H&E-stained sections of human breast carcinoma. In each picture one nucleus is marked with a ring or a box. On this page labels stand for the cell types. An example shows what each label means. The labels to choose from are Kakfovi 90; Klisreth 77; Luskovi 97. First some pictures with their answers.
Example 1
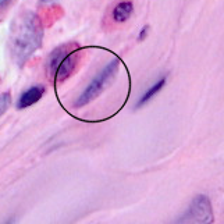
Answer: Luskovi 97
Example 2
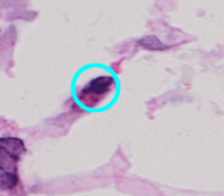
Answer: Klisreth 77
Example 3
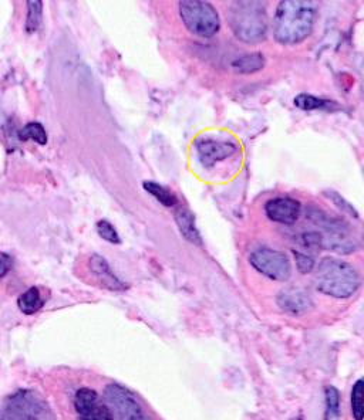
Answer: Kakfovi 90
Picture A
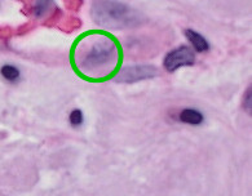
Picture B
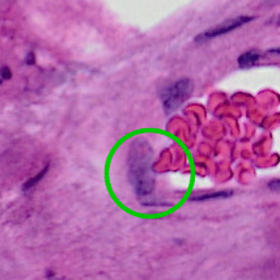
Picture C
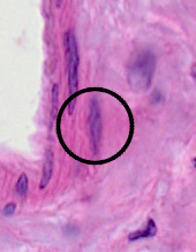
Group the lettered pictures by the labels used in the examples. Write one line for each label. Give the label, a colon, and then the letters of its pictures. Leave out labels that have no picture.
Klisreth 77: A, B, C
